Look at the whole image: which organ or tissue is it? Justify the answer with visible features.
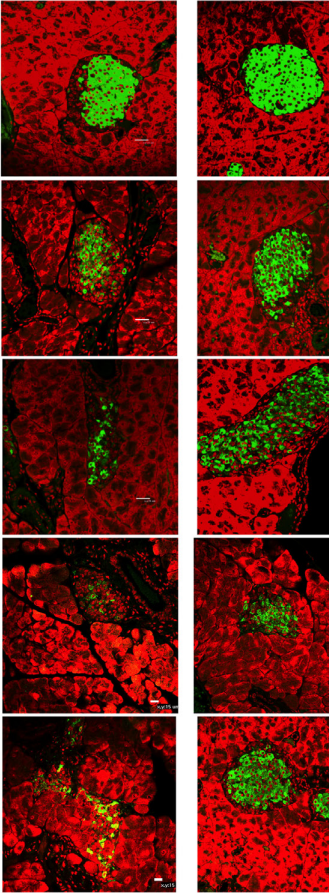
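Pancreatic islets. The surrounding tissue consists of larger, polygonal cells arranged in small groups.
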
